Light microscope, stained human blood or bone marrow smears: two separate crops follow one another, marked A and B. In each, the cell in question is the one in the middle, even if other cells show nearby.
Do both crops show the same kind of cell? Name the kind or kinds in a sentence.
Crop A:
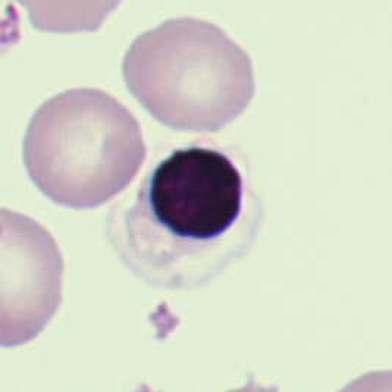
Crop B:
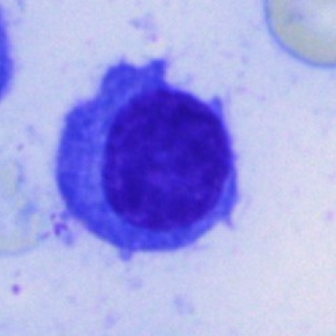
No, it is in crop A that an erythroblast is shown, and in crop B that a plasma cell is shown.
